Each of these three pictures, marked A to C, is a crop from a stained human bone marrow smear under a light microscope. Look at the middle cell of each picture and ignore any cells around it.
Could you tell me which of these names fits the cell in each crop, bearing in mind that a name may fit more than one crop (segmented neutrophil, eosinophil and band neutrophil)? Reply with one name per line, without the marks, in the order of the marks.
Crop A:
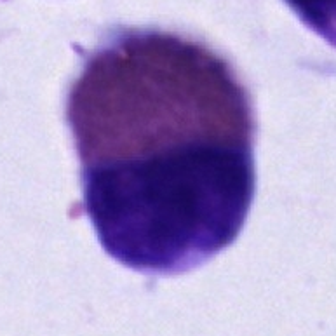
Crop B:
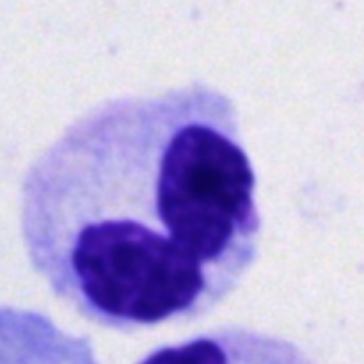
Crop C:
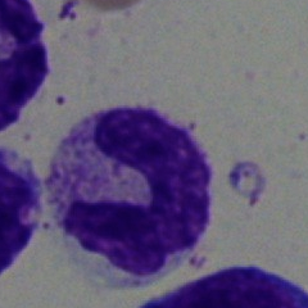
eosinophil
segmented neutrophil
band neutrophil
